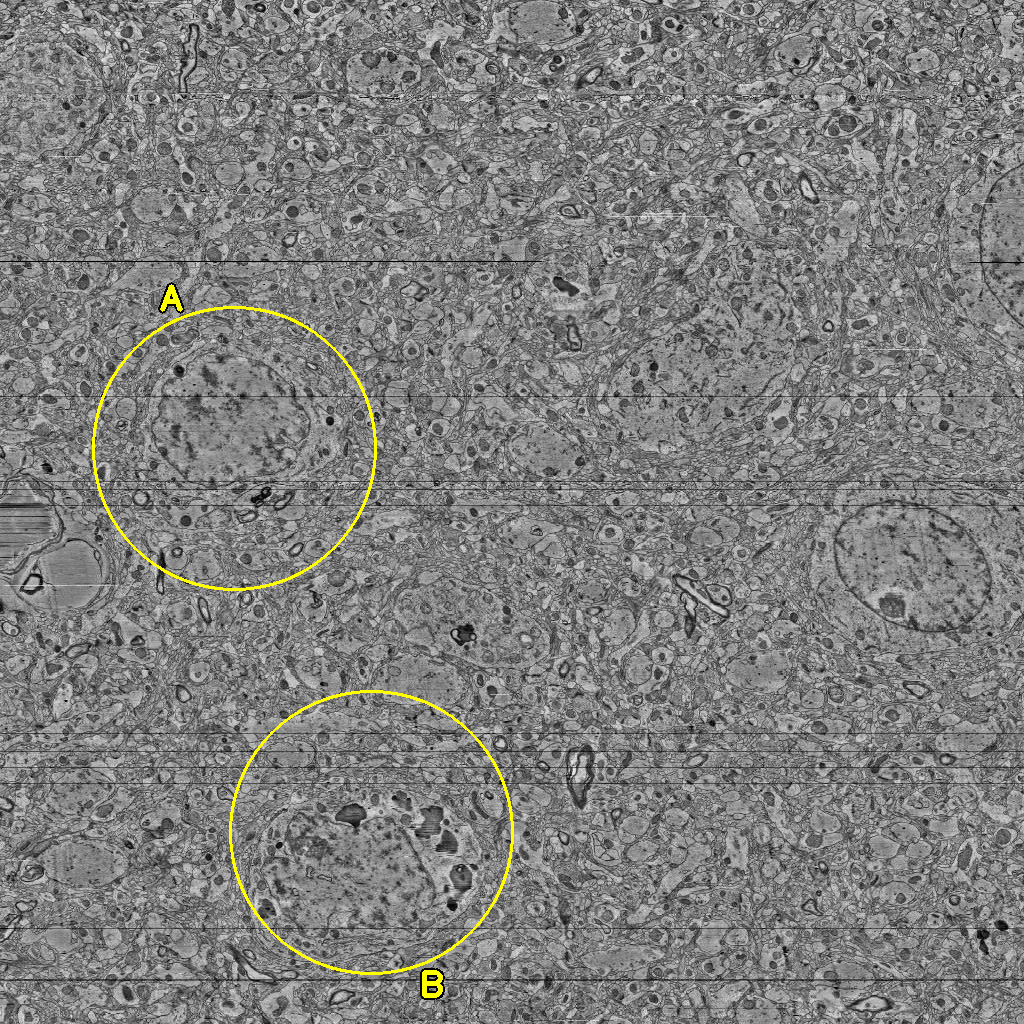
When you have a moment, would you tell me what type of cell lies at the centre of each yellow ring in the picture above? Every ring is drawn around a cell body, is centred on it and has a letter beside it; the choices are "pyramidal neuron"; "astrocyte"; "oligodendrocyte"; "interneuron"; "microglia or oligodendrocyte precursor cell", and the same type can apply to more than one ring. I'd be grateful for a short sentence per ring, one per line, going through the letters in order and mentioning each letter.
The cell at the centre of ring A is an interneuron.
The cell at the centre of ring B is an interneuron.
